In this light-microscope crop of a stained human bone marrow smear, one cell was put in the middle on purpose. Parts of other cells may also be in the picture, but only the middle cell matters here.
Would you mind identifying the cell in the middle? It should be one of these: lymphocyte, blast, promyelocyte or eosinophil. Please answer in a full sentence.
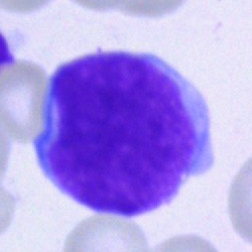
Occupying the centre of the crop is a blast.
